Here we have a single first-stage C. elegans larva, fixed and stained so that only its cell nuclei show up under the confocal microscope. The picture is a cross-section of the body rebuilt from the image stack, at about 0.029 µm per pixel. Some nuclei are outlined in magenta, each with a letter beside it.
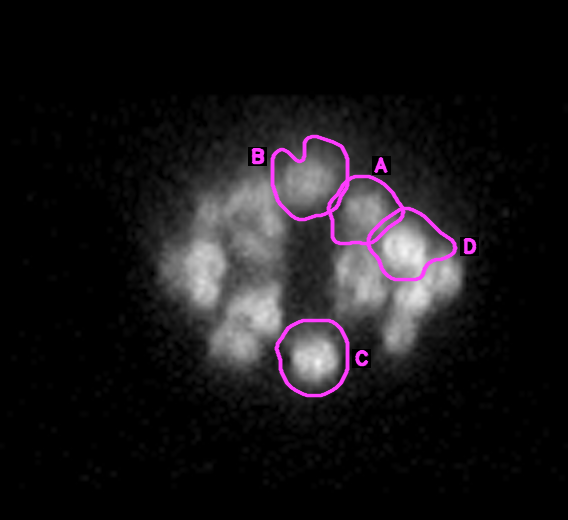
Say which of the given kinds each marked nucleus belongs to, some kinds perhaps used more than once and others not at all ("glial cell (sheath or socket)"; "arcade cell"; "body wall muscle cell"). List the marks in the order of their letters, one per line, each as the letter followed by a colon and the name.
A: body wall muscle cell
B: arcade cell
C: arcade cell
D: glial cell (sheath or socket)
